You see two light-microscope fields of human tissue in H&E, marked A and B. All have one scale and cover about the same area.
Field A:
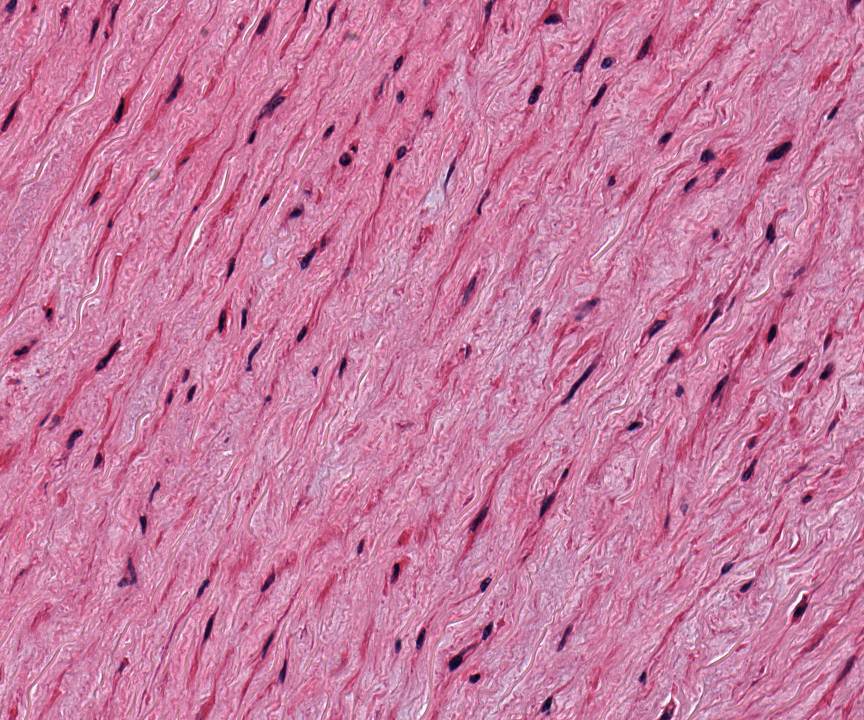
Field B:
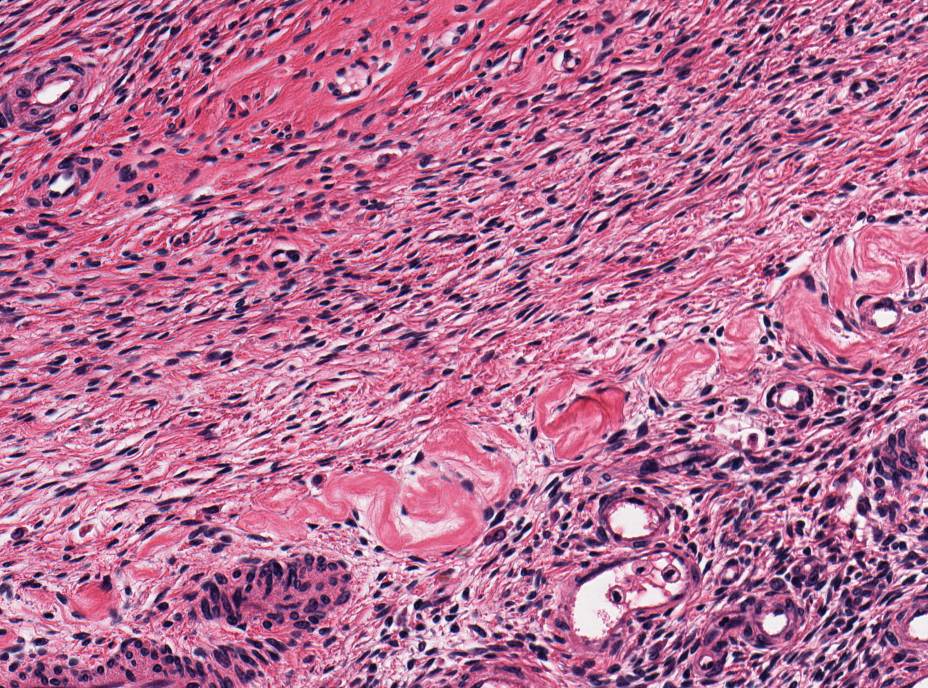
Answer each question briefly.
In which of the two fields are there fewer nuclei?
A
